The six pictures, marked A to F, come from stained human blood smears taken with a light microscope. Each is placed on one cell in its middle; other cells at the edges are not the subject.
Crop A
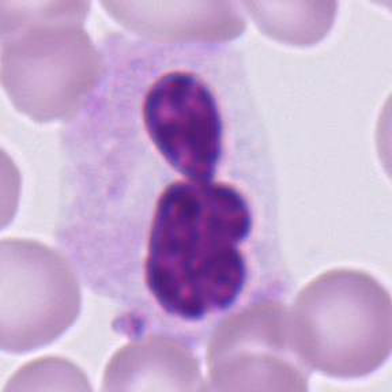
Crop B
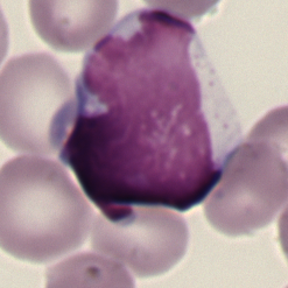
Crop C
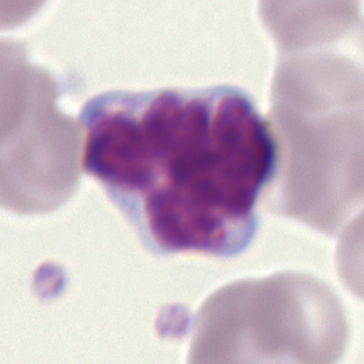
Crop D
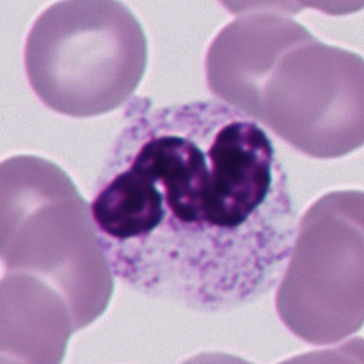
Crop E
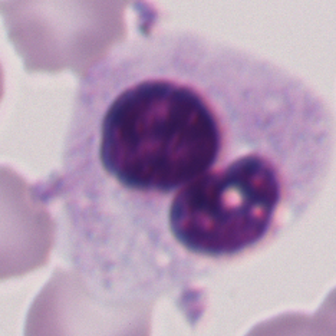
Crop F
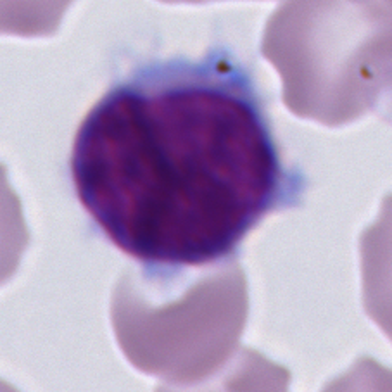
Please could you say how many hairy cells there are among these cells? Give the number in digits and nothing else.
1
